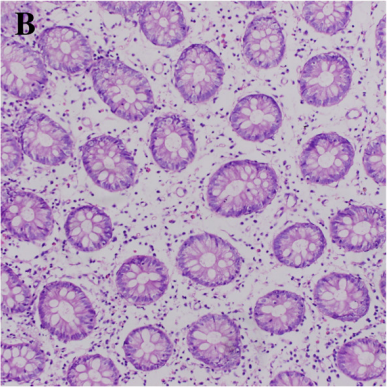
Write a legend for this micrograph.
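This is colonic mucosa cut across the crypts, which appear as regular round rings evenly spread through the lamina propria. Each crypt is lined by a single layer of columnar epithelium packed with pale, clear goblet cells around a small central lumen. The nuclei of the epithelial cells sit at the base of the cells, in a purple row along the outer edge of each ring. Between the crypts the pink lamina propria holds scattered small nuclei of stromal and inflammatory cells. The crypts are of similar size and shape, giving an orderly, even pattern.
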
